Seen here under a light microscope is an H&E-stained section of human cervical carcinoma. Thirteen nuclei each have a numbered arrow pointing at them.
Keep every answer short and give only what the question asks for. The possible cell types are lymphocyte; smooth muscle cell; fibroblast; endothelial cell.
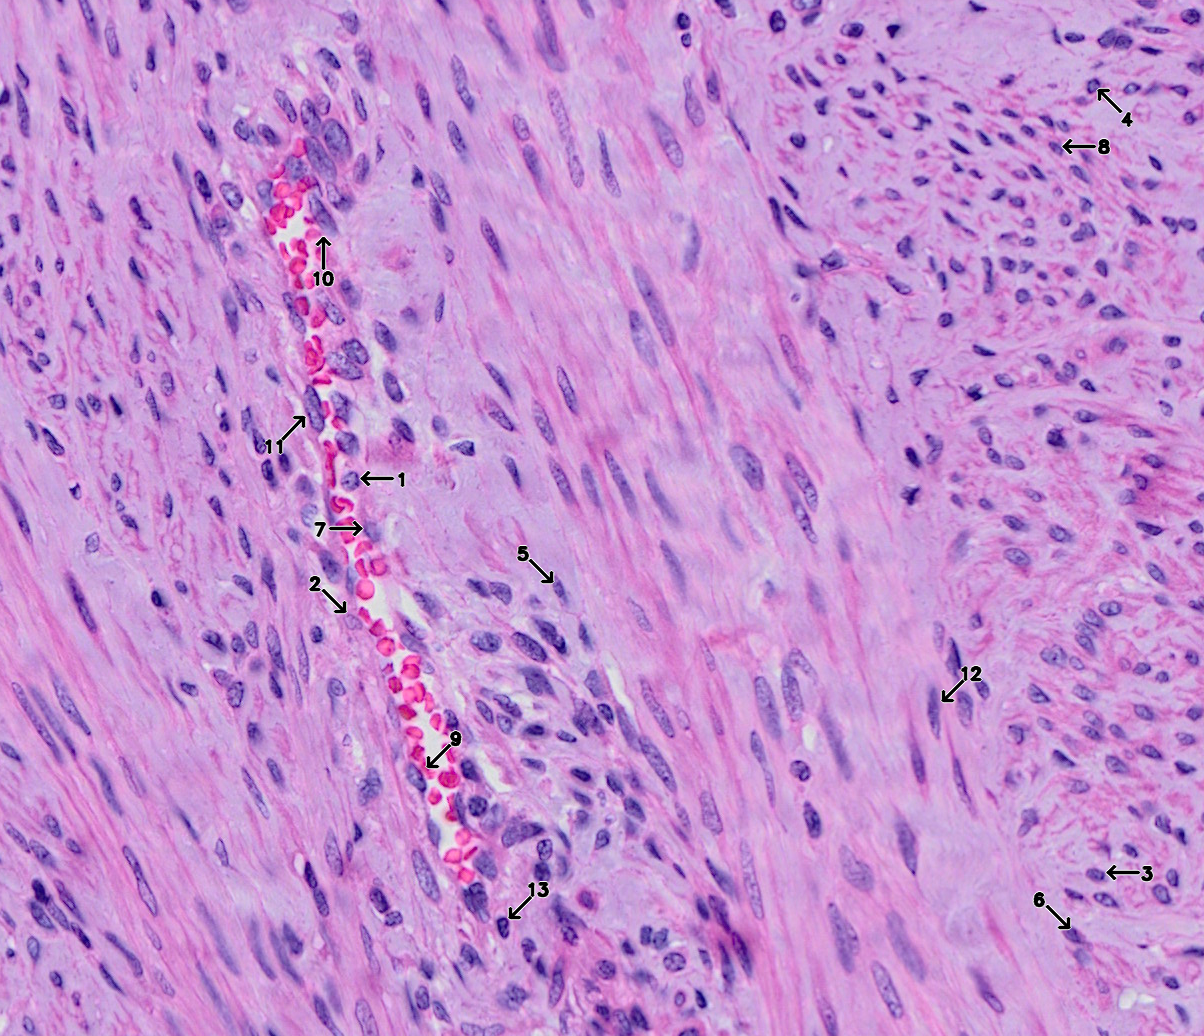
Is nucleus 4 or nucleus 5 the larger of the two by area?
5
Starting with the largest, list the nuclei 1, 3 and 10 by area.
10, 1, 3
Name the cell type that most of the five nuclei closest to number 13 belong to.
endothelial cell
